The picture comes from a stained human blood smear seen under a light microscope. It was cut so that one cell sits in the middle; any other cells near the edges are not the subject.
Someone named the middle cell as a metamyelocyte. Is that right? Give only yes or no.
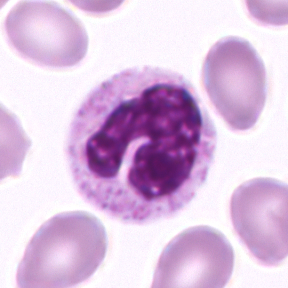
no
